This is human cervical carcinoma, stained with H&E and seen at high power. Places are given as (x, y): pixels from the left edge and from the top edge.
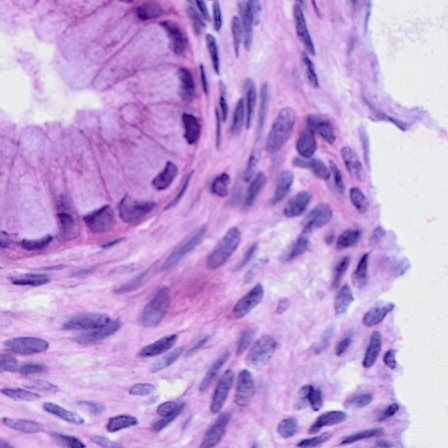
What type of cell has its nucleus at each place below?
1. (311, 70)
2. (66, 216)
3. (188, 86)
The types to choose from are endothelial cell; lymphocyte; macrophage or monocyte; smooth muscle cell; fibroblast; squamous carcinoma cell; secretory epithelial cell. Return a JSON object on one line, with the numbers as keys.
{"1": "fibroblast", "2": "secretory epithelial cell", "3": "secretory epithelial cell"}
